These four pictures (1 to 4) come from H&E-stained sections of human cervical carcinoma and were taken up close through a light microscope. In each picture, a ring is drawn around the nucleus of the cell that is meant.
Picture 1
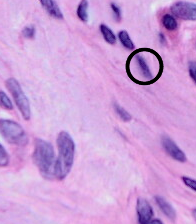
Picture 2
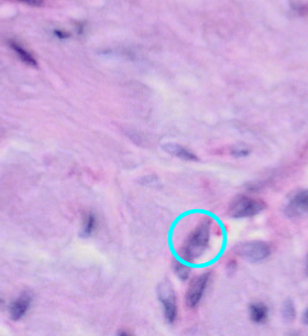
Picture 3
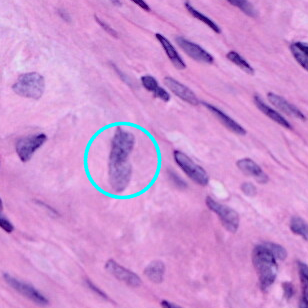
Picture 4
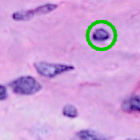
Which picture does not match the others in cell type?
2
